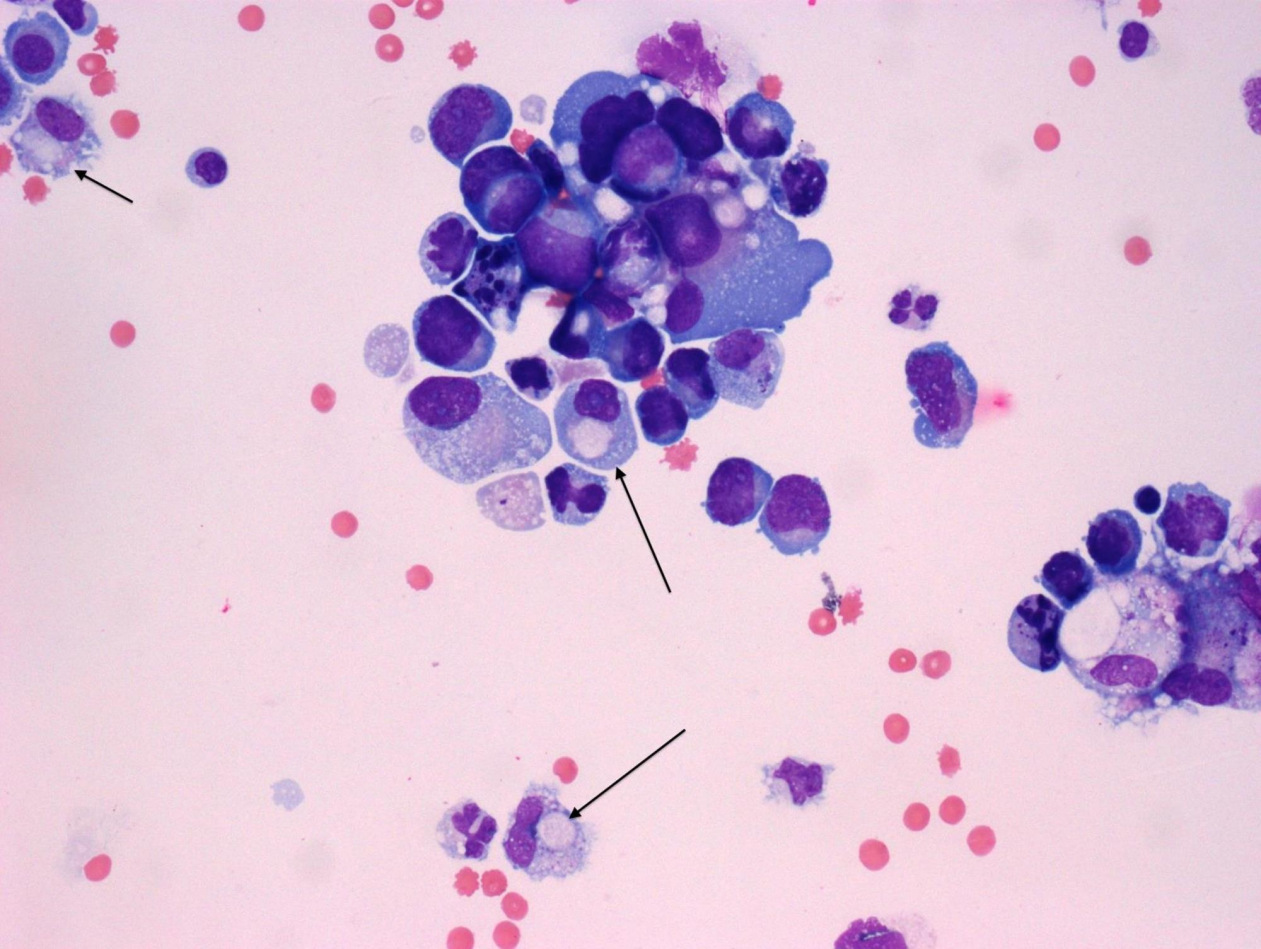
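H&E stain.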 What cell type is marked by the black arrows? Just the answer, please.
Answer: Signet ring cell.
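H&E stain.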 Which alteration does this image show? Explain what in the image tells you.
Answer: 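Markedly atypical cells. Large cells with big, dark purple nuclei of varying shape. Nuclei fill most of many cells, leaving a thin rim of blue cytoplasm. Cells vary markedly in size and nuclear shape within the central cluster.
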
